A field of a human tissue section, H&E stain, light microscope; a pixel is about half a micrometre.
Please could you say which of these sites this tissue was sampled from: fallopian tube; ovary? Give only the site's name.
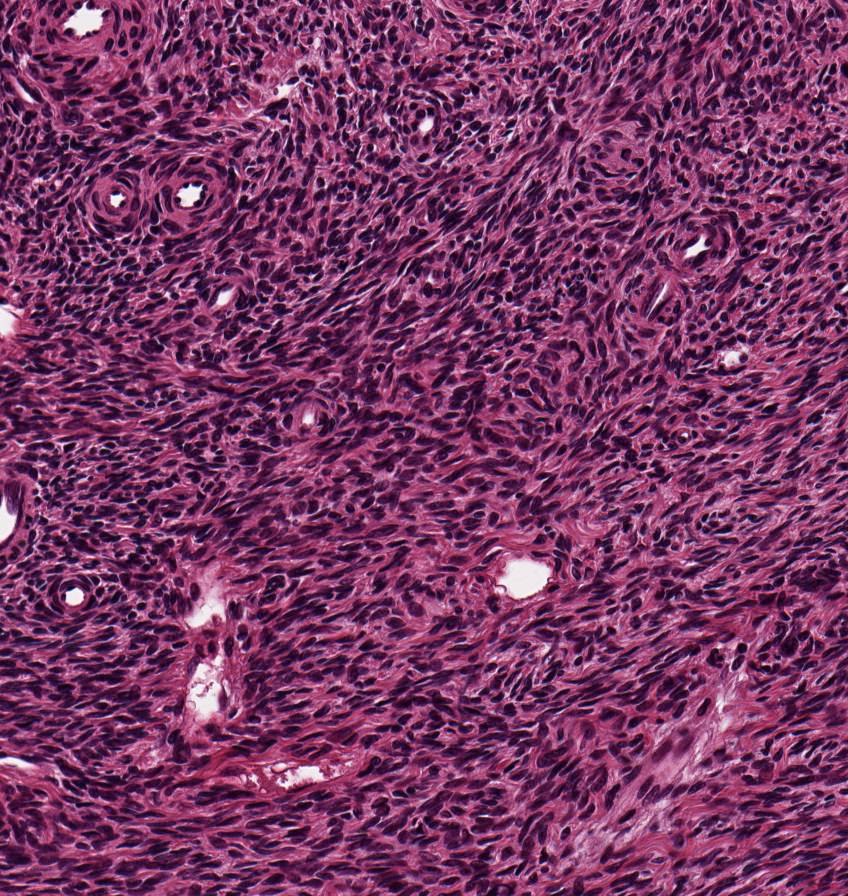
ovary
